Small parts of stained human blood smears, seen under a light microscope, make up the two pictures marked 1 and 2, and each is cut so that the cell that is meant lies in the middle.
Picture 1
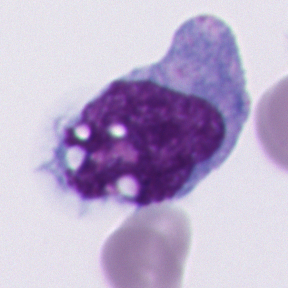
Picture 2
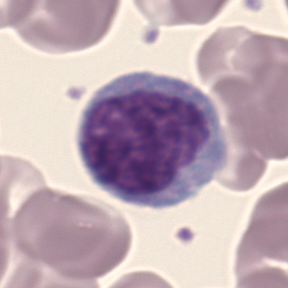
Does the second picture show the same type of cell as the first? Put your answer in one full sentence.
Yes, the two pictures both show monocytes.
